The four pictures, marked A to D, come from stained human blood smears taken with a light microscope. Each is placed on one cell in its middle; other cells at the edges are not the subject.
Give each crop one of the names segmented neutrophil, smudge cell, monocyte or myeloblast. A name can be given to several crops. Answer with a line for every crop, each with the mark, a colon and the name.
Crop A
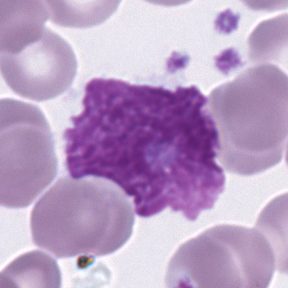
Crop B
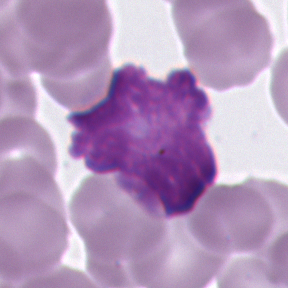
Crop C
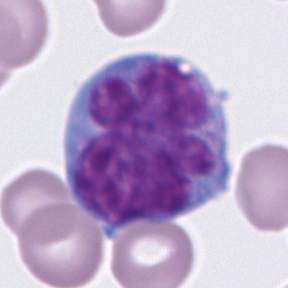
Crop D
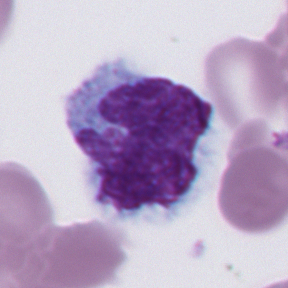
A: smudge cell
B: smudge cell
C: myeloblast
D: monocyte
